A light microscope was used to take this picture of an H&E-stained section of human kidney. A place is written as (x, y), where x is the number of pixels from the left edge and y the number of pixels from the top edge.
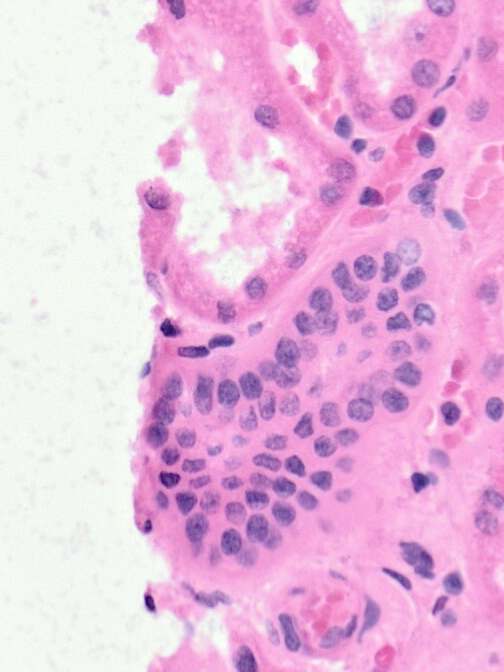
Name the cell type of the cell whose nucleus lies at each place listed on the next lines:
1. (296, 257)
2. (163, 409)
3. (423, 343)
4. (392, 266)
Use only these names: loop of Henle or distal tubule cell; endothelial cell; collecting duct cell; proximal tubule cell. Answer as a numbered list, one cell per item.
1. proximal tubule cell
2. collecting duct cell
3. collecting duct cell
4. collecting duct cell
